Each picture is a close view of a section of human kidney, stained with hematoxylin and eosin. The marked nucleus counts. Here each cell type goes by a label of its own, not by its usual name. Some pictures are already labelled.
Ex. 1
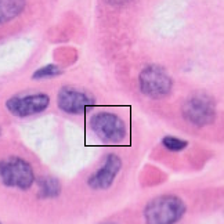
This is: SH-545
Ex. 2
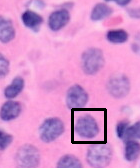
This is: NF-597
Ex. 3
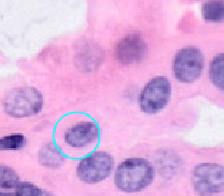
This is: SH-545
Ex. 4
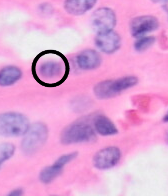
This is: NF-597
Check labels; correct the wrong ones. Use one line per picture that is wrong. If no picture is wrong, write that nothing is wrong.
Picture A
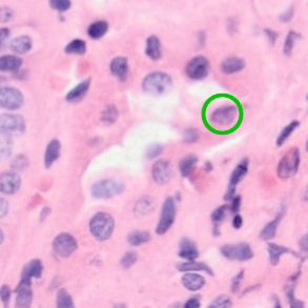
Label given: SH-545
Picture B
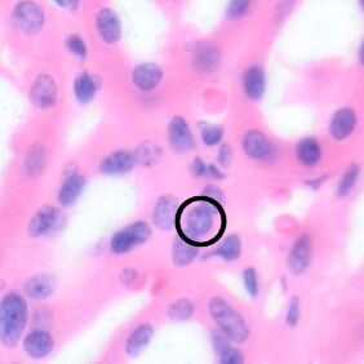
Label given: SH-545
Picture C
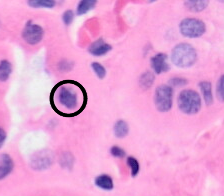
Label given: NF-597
A: not SH-545 but NF-597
